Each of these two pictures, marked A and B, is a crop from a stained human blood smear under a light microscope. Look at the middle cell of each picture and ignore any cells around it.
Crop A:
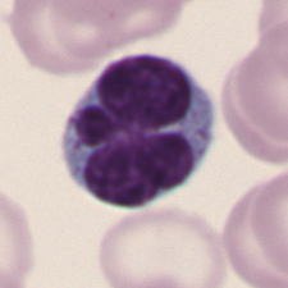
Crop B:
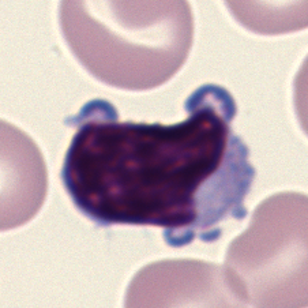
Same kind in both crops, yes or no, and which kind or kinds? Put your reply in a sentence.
Yes, both crops alike show typical lymphocytes at the centre.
